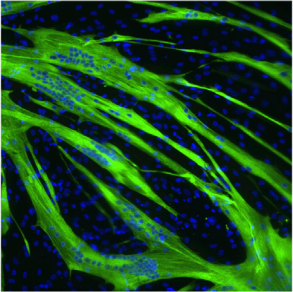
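Multinucleated myotubes formed in culture fill much of the field as long, broad, green-filled cells that run in overlapping bands, some branching or widening. Inside several of them, many blue nuclei lie grouped together in rows or clusters within a single continuous green cytoplasm, showing fusion of many cells. Between the myotubes lies a dense carpet of small, round to oval blue nuclei belonging to unfused mononuclear cells that show little or no green. The myotubes differ in width, from slender tubes to very wide, flattened sheets.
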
